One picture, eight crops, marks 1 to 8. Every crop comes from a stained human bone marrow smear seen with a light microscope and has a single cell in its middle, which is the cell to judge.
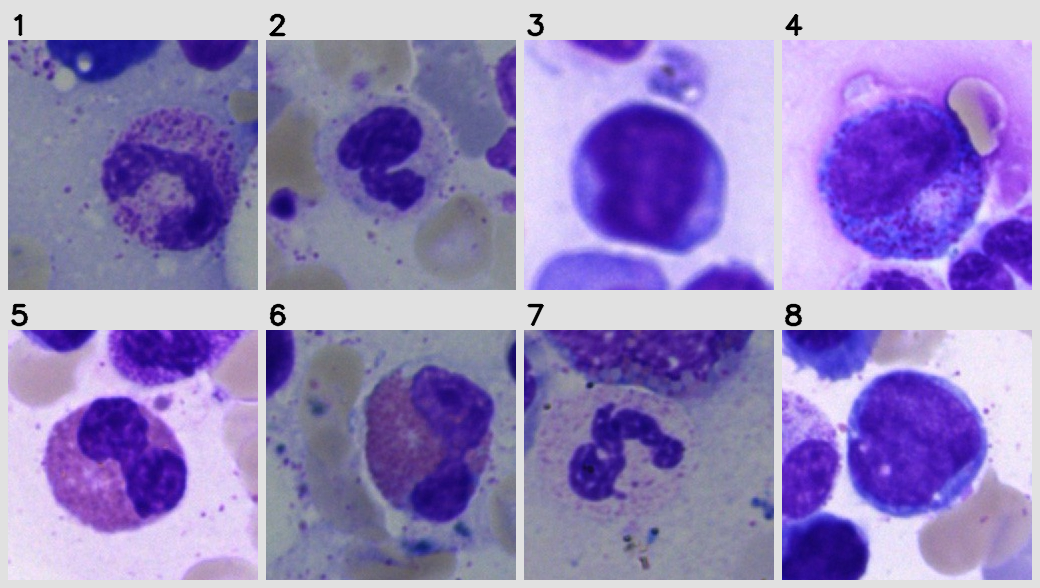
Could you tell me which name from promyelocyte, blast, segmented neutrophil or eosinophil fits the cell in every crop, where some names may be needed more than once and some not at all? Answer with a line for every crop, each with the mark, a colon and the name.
1: segmented neutrophil
2: segmented neutrophil
3: blast
4: promyelocyte
5: eosinophil
6: eosinophil
7: segmented neutrophil
8: blast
